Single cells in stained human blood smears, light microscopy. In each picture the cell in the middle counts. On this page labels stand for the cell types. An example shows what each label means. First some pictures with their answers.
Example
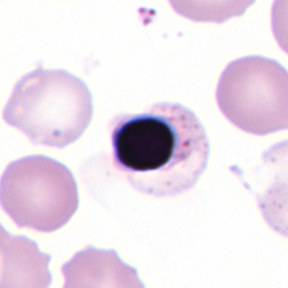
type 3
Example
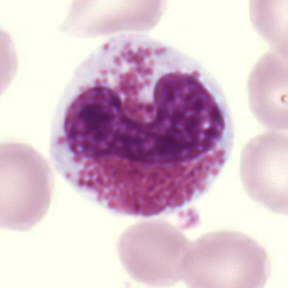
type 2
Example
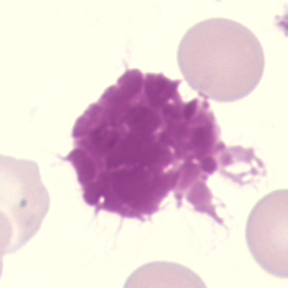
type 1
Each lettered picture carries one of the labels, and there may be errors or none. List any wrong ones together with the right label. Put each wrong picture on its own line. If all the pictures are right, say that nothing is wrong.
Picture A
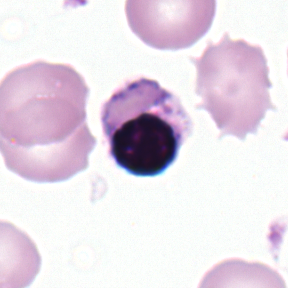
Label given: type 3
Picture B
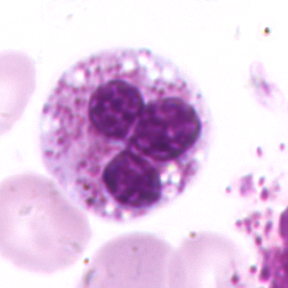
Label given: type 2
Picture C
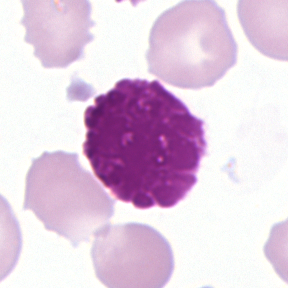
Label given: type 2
Wrong: C (type 2); correct: type 1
